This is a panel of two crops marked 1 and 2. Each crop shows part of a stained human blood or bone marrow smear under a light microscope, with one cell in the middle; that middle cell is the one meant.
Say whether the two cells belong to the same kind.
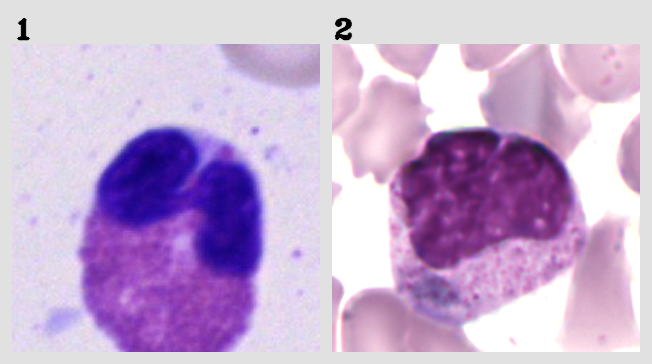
no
